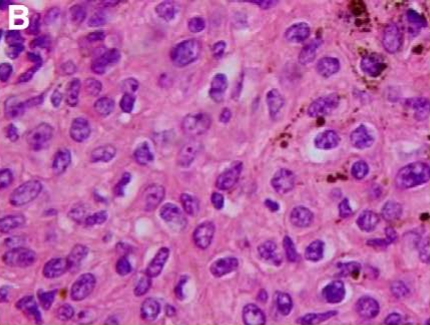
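Tumor cells lie packed in a sheet with abundant pink cytoplasm and indistinct borders between them. Their nuclei are large, round to oval and vesicular, with pale chromatin and a thin nuclear membrane. Small brown-black pigment granules lie in scattered clusters between and within some cells. The nuclei vary somewhat in size and shape from cell to cell.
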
